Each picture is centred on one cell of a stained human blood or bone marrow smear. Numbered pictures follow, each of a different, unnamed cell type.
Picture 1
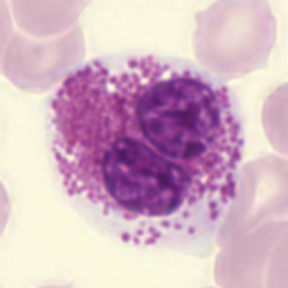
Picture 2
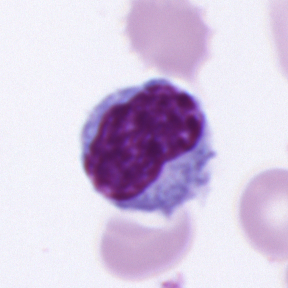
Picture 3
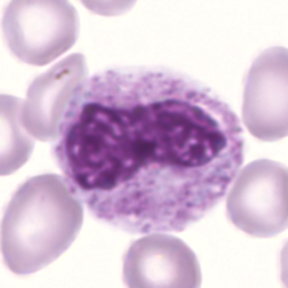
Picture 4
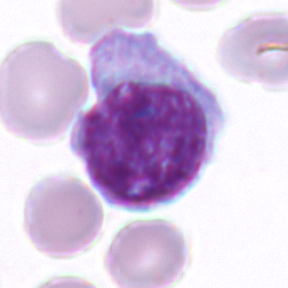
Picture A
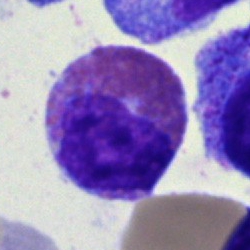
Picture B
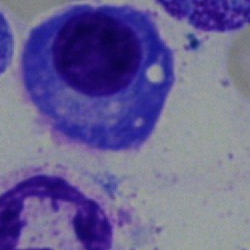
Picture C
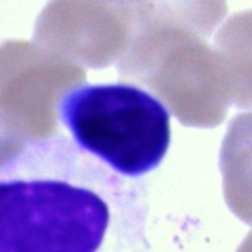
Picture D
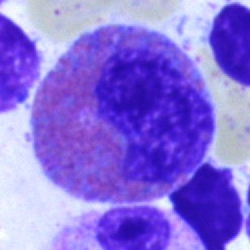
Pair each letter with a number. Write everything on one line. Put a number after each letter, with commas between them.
A 1, B 4, C 2, D 1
